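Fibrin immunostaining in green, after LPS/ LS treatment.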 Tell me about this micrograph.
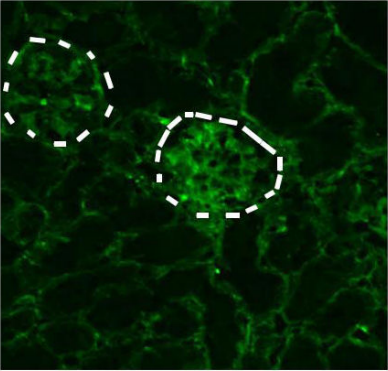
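This is kidney cortex with two glomeruli outlined by dashed lines among dark tubule cross-sections. The central glomerulus is filled with bright green that traces its looping capillaries, clearly brighter than the tissue around it. The glomerulus at the upper left shows a weaker, patchy green inside. Between the dark tubules, thin green lines outline the spaces where the peritubular capillaries run. The tubule interiors themselves stay largely dark.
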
